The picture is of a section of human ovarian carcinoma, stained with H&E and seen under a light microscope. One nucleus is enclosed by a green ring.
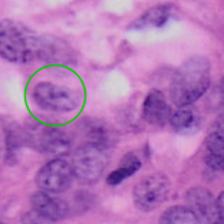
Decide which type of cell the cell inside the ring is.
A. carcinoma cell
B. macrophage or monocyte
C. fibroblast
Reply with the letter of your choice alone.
B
